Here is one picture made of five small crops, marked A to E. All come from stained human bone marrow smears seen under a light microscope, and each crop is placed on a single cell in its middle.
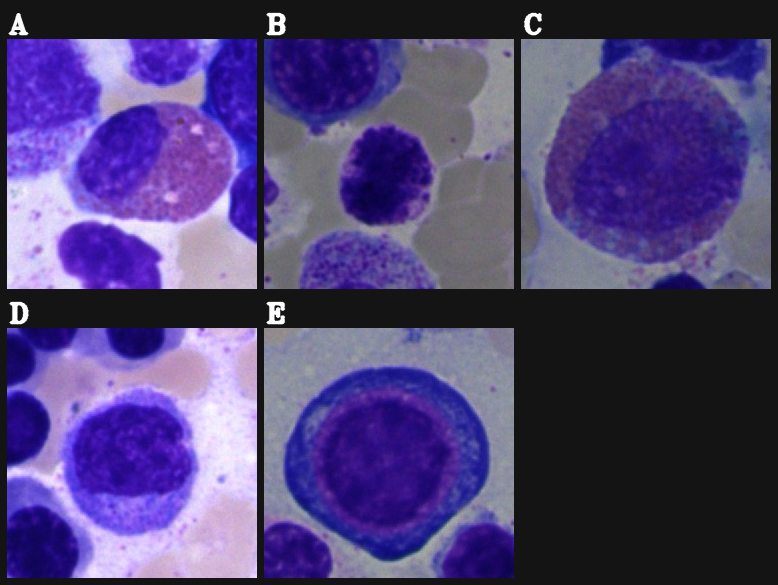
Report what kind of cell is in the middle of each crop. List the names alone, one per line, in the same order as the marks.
eosinophil
basophil
eosinophil
monocyte
proerythroblast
